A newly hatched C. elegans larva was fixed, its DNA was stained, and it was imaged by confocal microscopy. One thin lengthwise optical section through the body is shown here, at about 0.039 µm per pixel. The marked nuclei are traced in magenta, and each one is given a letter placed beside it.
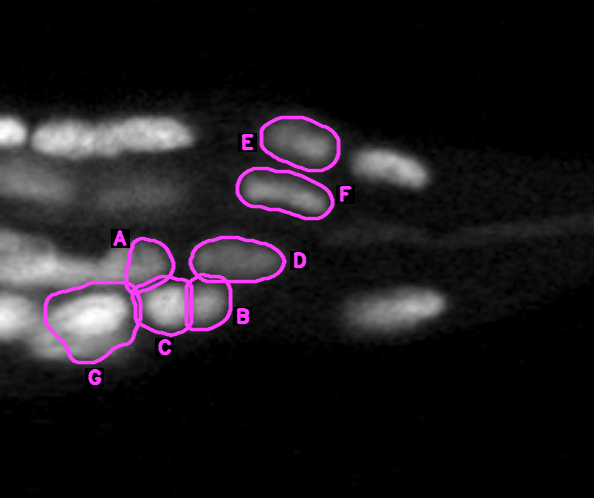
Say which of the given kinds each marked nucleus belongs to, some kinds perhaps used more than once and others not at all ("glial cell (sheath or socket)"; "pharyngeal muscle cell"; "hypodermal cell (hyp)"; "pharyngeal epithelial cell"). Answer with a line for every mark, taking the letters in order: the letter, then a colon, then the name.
A: pharyngeal muscle cell
B: hypodermal cell (hyp)
C: hypodermal cell (hyp)
D: pharyngeal epithelial cell
E: hypodermal cell (hyp)
F: pharyngeal epithelial cell
G: glial cell (sheath or socket)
